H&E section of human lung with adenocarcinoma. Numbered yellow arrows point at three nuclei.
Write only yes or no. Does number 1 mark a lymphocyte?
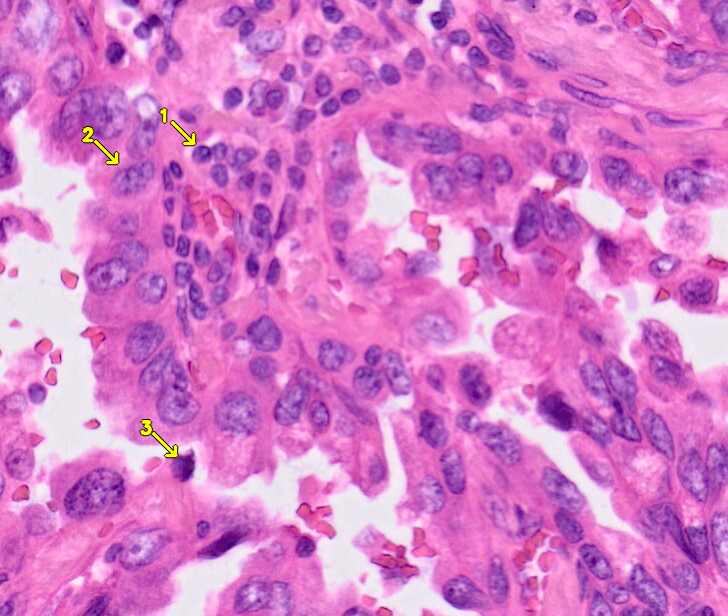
yes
